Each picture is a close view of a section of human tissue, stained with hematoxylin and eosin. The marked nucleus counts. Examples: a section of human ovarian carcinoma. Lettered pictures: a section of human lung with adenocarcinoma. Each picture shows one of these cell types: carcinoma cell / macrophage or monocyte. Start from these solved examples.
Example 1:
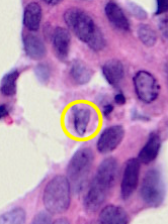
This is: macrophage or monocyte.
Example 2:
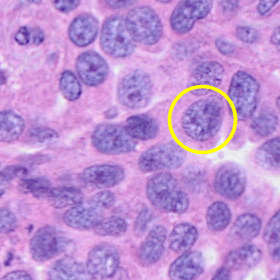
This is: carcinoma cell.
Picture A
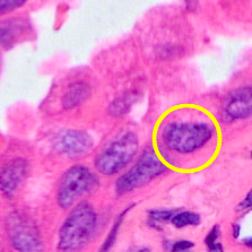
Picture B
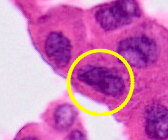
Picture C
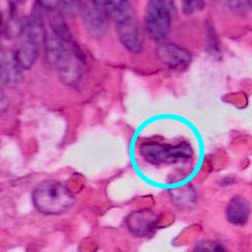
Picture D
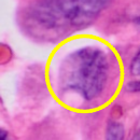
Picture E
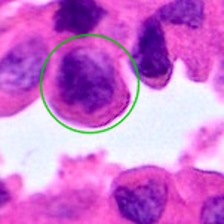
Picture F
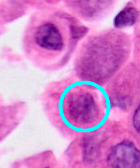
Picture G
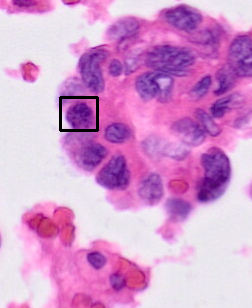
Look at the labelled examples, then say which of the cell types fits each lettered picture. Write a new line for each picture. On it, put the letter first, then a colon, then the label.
A: carcinoma cell.
B: carcinoma cell.
C: macrophage or monocyte.
D: carcinoma cell.
E: carcinoma cell.
F: carcinoma cell.
G: carcinoma cell.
